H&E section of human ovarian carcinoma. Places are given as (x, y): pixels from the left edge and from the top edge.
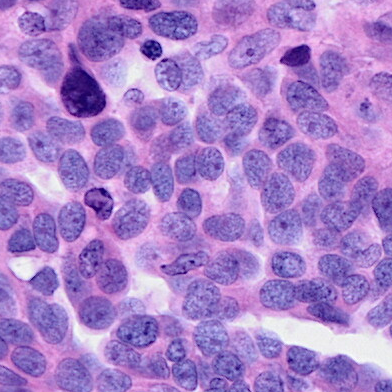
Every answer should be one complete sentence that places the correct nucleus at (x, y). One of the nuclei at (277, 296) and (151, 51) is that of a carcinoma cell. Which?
The nucleus found at (277, 296) belongs to a carcinoma cell.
